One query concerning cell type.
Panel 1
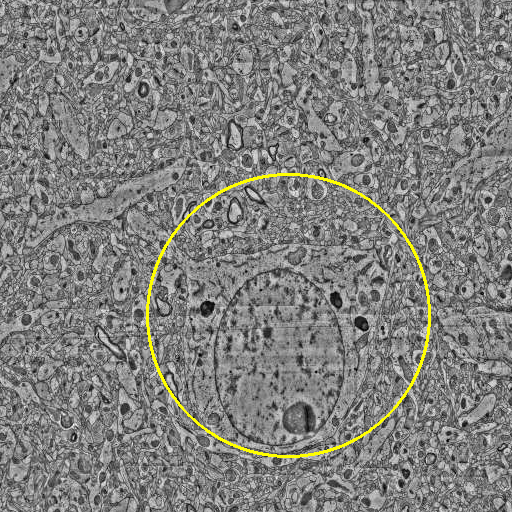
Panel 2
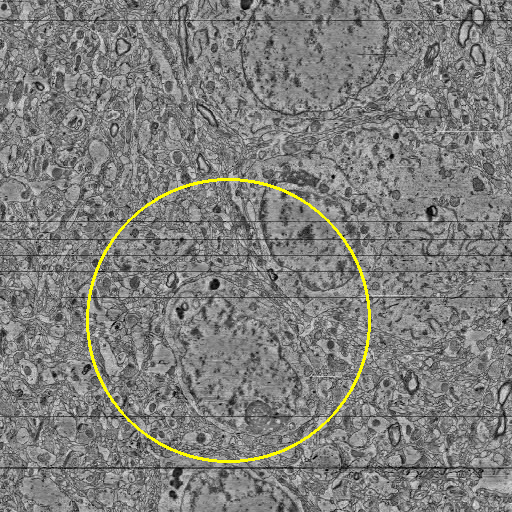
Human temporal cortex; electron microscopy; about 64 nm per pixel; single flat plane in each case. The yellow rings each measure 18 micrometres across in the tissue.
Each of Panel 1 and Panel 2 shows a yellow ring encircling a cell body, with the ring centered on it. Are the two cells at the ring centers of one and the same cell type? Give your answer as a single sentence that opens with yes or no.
No, the cell centered in Panel 1 and the one in Panel 2 are of two types.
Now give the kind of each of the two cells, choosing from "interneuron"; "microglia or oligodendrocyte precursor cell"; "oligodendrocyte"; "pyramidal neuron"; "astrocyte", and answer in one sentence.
The cell in the first picture is a pyramidal neuron, and the cell in the second is an interneuron.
